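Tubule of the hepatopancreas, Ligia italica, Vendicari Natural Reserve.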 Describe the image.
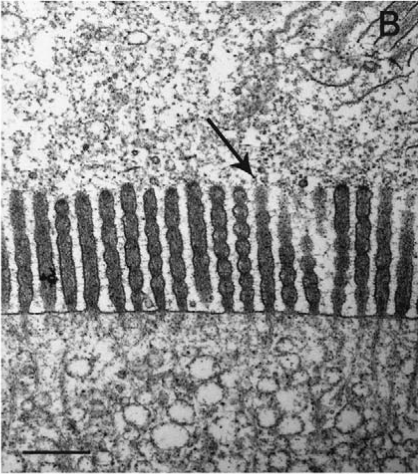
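The apical surface of a B cell bears a border of long, parallel microvilli standing on the cell membrane. Many of the microvilli appear beaded, broken into rounded segments, and some near their tips are pale and fragmented, showing progressive vesiculation.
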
